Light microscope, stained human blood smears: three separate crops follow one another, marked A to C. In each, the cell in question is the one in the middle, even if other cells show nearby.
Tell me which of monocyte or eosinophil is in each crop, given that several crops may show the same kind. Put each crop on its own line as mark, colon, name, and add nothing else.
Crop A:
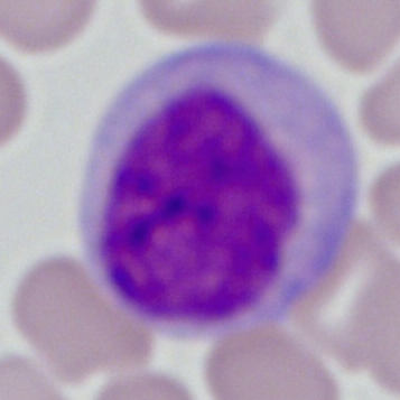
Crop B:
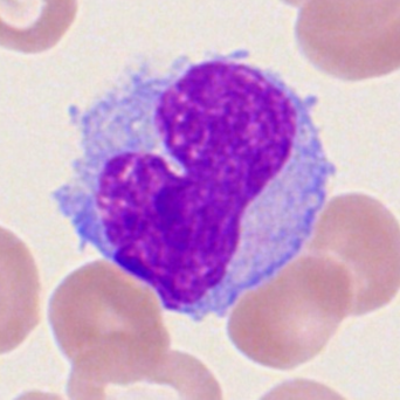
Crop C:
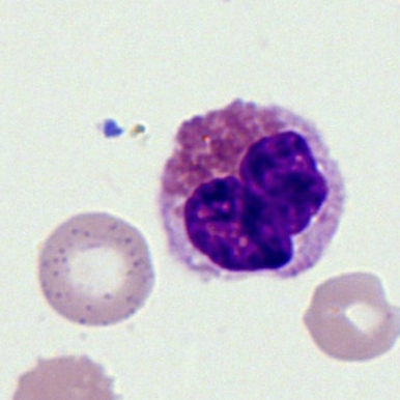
A: monocyte
B: monocyte
C: eosinophil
